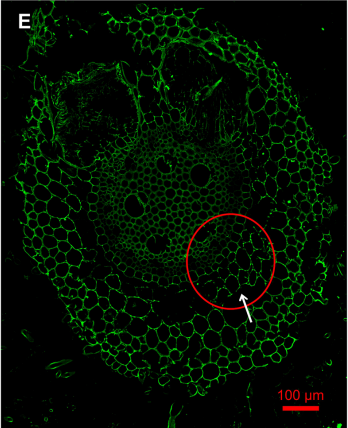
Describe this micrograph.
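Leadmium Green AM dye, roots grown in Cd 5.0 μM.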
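The large polygonal parenchyma cells of the cortex are clearly traced, each wall a thin bright line, with the tightly packed smaller cells of the central cylinder in the middle. Towards the outside the tissue is partly torn, with loose flaps of wall.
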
